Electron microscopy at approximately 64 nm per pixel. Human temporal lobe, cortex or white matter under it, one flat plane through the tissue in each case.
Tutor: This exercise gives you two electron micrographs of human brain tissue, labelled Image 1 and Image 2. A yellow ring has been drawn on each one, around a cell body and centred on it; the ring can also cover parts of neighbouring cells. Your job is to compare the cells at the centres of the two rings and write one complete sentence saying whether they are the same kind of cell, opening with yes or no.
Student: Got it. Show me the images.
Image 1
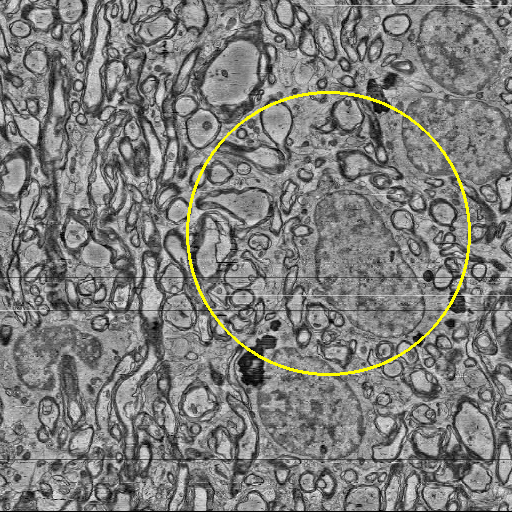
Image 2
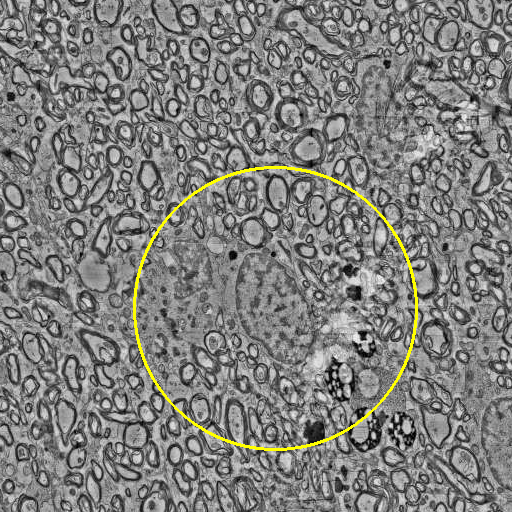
Yes, the two cells belong to the same kind.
